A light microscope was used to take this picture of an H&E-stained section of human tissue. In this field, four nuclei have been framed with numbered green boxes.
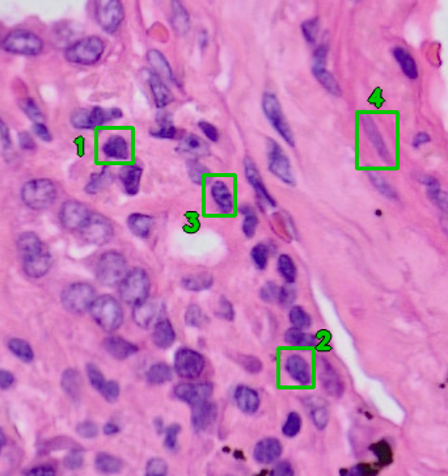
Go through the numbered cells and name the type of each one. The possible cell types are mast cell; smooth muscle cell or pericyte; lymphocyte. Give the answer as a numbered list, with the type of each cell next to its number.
1. lymphocyte
2. lymphocyte
3. mast cell
4. smooth muscle cell or pericyte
